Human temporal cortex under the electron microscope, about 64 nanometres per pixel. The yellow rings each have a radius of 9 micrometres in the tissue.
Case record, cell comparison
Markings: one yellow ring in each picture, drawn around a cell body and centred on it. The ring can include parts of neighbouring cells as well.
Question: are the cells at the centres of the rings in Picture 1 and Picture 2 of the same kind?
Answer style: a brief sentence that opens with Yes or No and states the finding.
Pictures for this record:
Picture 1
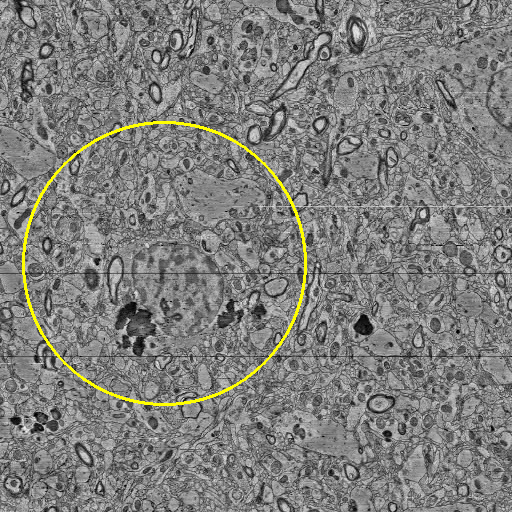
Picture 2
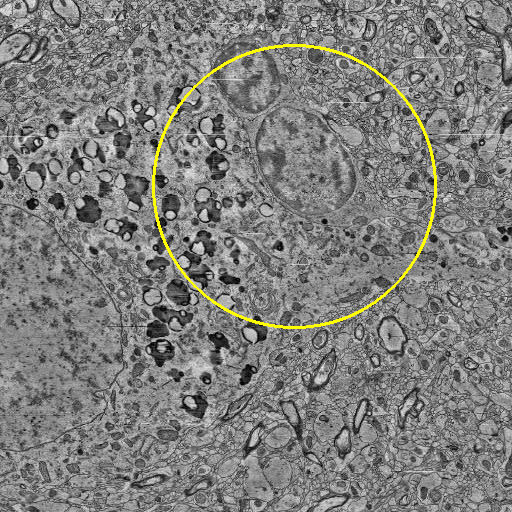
Yes, the cells in Picture 1 and Picture 2 are of the same kind.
